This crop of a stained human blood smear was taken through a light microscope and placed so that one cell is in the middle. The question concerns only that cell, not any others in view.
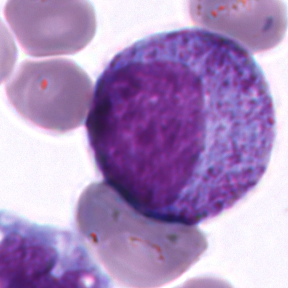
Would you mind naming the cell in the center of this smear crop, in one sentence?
The cell under consideration, at the middle of the crop, is a promyelocyte.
